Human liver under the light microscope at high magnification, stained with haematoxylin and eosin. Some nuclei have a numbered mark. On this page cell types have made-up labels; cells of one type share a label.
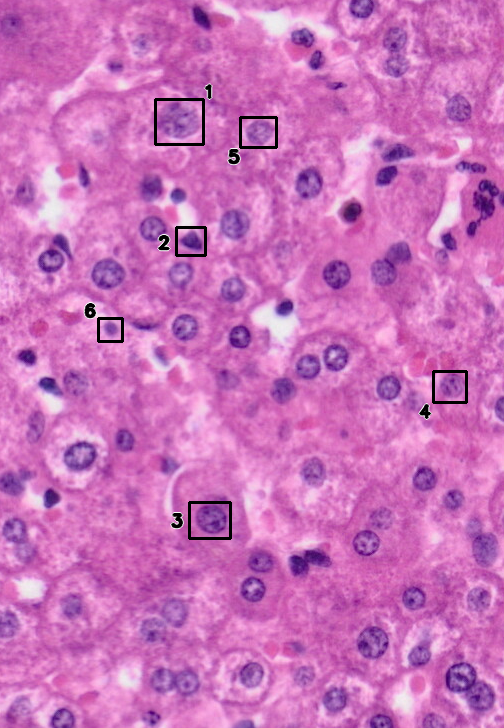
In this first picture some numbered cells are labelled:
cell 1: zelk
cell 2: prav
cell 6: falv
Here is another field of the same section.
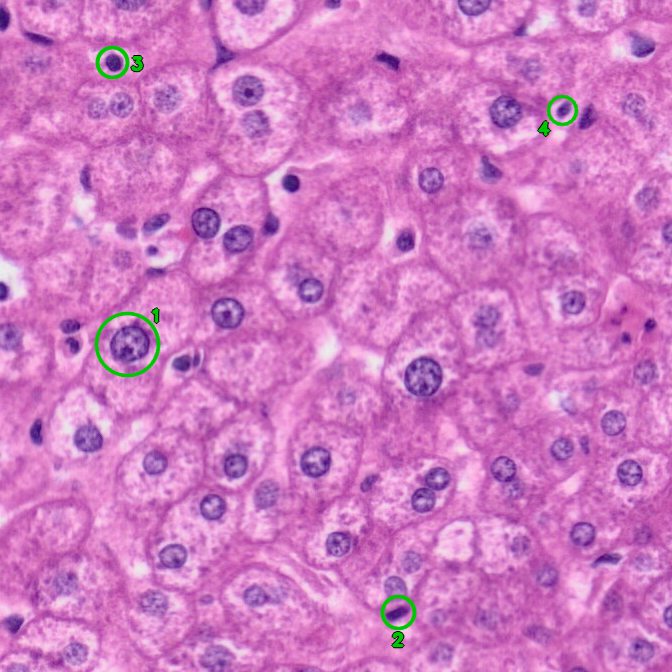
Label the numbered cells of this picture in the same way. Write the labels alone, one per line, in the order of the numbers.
zelk
prav
falv
falv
